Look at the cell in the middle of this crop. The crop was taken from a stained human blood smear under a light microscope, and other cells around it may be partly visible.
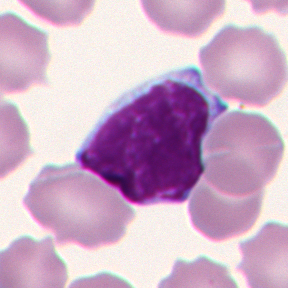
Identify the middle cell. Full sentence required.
The target cell in the middle of the crop is a typical lymphocyte.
